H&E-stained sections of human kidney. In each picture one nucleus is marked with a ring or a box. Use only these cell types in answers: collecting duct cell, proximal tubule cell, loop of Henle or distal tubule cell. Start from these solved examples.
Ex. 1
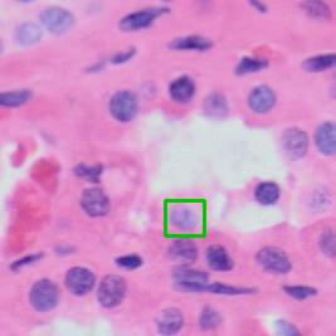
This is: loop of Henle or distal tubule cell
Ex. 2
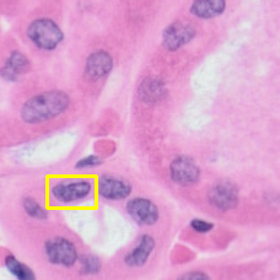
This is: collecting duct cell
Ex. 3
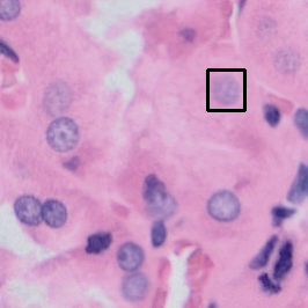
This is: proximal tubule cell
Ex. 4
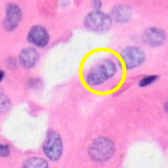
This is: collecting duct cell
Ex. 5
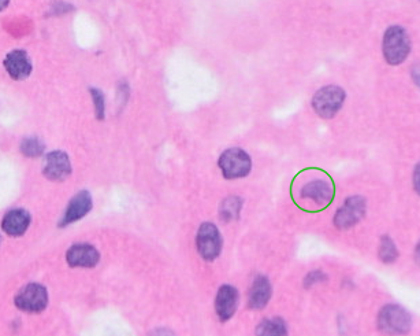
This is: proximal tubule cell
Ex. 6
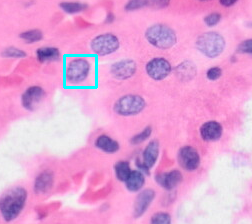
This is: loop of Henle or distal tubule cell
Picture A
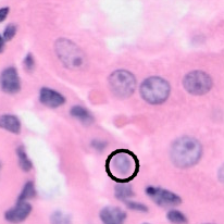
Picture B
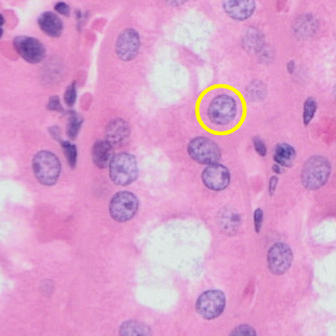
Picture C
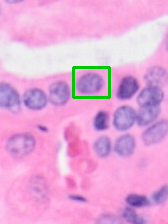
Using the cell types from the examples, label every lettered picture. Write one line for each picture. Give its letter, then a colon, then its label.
A: collecting duct cell
B: proximal tubule cell
C: collecting duct cell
